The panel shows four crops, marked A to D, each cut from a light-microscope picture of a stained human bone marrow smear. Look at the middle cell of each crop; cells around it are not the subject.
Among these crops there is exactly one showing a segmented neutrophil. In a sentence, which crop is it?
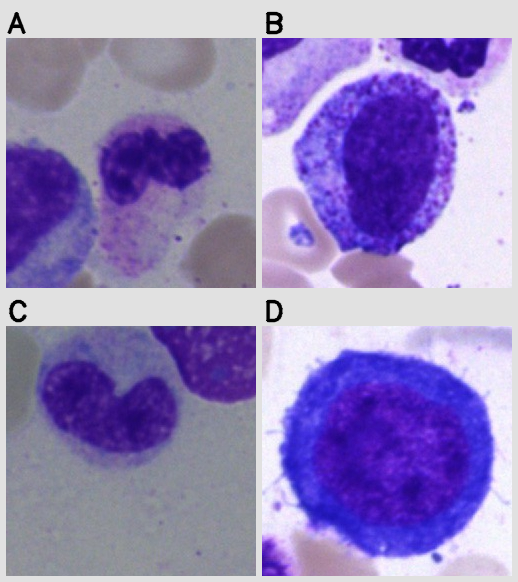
Crop A is the one that shows a segmented neutrophil.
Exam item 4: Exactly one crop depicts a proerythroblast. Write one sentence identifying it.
Crop D is the correct crop, and it shows a proerythroblast.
